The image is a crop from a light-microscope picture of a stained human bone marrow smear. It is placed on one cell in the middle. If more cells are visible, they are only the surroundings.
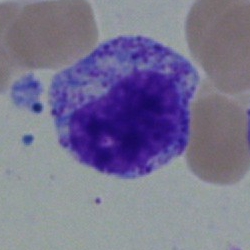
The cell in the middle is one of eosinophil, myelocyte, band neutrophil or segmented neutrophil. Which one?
myelocyte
